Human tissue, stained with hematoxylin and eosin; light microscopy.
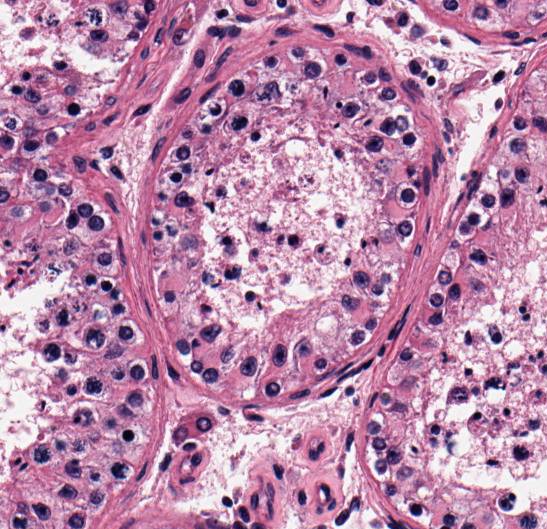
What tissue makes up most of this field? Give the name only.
seminiferous tubule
